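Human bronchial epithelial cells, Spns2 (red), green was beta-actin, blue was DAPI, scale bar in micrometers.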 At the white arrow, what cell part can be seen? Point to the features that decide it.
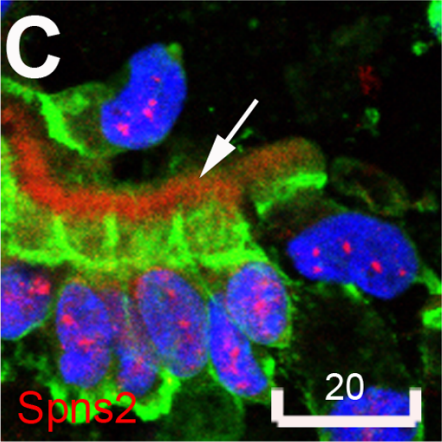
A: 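The arrow points to a red band running along the free surface of a row of cells. The band lies above the nuclei, at the apical ends of the cells. The answer: cilia.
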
